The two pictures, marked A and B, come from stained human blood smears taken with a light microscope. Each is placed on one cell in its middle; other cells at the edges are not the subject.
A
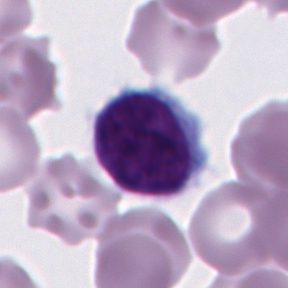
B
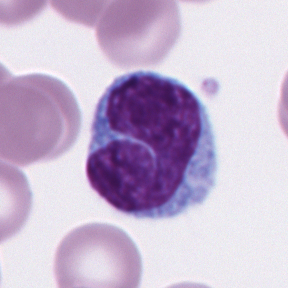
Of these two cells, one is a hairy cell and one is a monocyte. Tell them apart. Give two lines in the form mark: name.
A: hairy cell
B: monocyte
